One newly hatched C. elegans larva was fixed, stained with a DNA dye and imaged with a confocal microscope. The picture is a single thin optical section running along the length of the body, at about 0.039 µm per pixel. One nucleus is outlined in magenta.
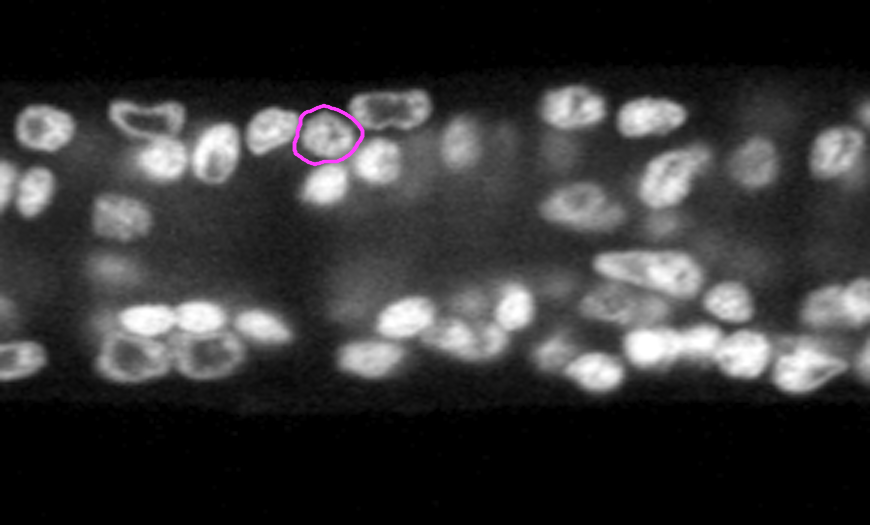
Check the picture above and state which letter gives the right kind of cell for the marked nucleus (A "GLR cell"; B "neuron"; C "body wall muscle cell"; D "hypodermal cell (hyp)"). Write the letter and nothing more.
B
